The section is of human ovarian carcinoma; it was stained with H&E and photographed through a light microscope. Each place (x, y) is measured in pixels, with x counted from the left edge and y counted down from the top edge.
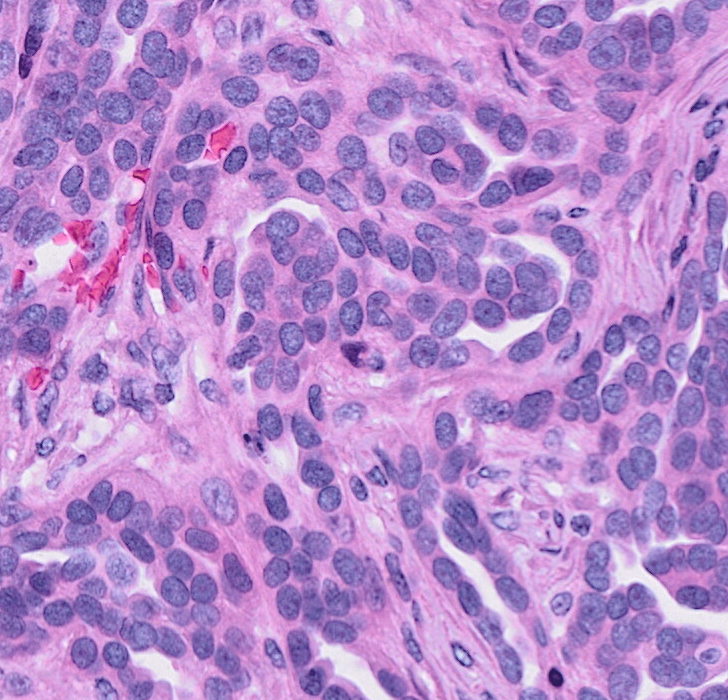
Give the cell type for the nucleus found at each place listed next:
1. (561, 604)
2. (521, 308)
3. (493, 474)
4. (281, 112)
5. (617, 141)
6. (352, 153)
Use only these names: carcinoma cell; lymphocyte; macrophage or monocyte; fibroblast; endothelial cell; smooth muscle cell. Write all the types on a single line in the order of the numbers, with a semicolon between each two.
macrophage or monocyte; carcinoma cell; fibroblast; carcinoma cell; carcinoma cell; carcinoma cell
